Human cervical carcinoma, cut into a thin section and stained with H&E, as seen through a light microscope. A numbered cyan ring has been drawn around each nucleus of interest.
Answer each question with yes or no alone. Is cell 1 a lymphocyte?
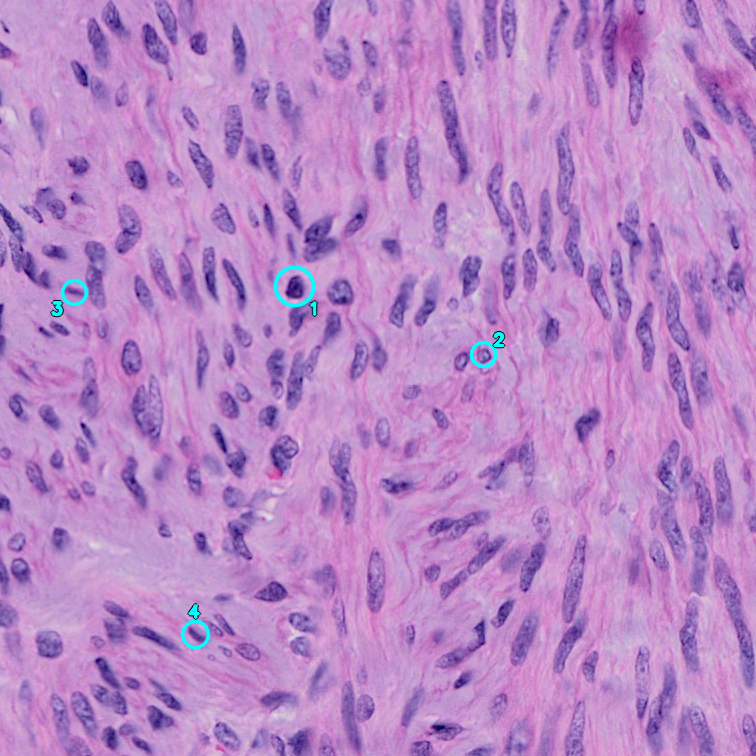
yes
